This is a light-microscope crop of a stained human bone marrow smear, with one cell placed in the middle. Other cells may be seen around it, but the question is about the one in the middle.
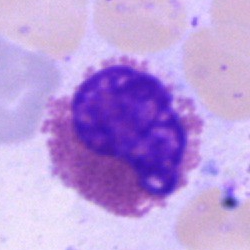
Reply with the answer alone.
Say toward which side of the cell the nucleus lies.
upper right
